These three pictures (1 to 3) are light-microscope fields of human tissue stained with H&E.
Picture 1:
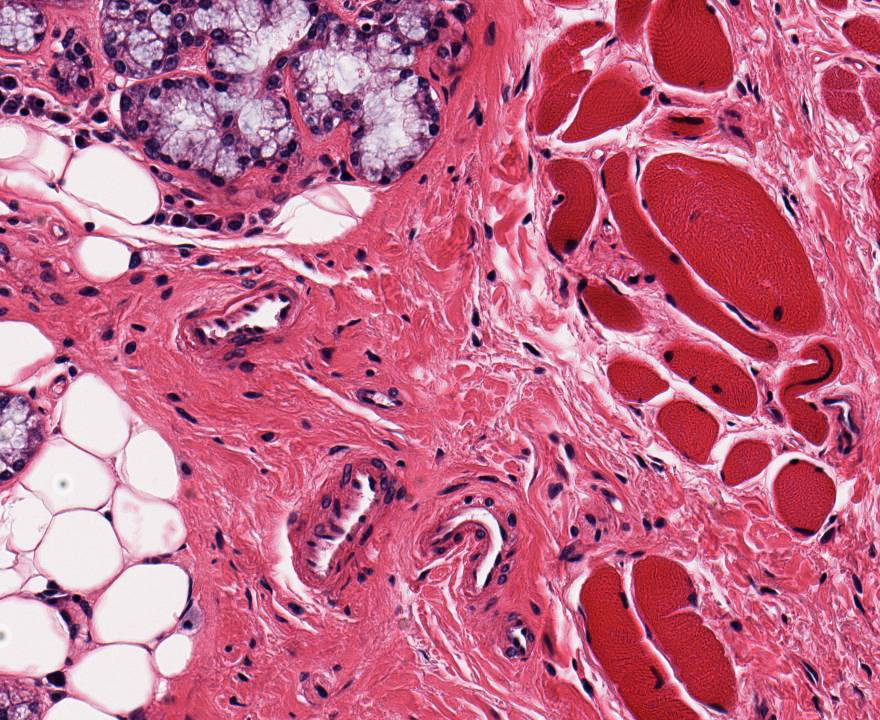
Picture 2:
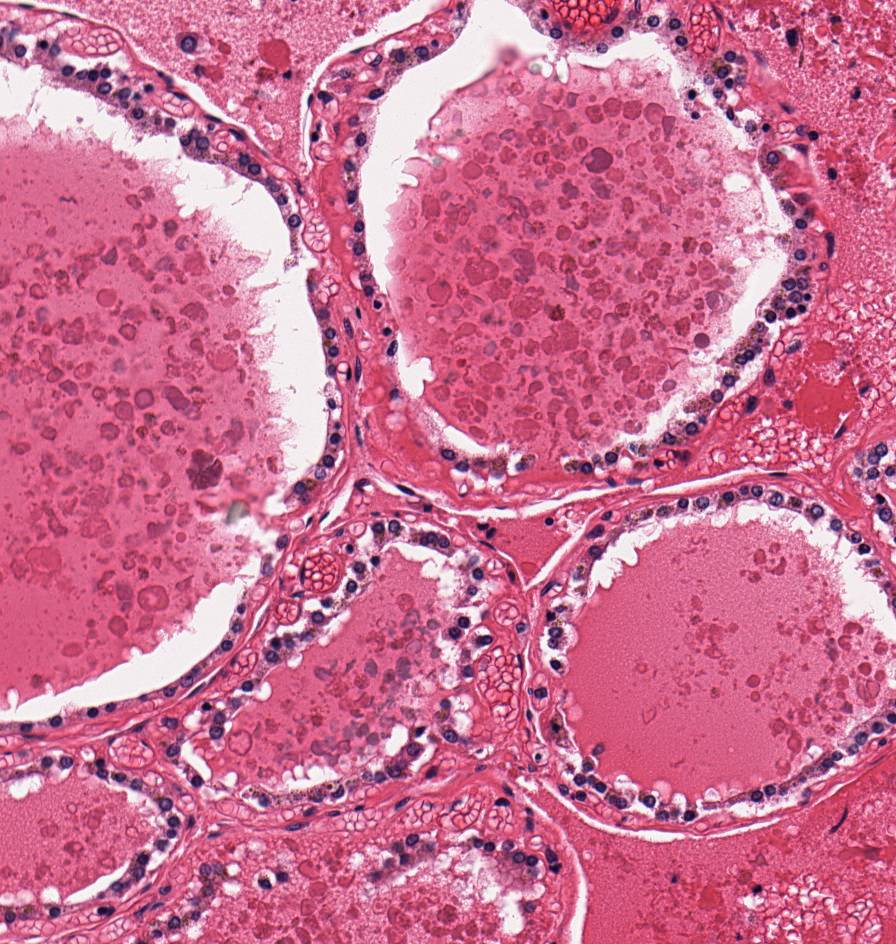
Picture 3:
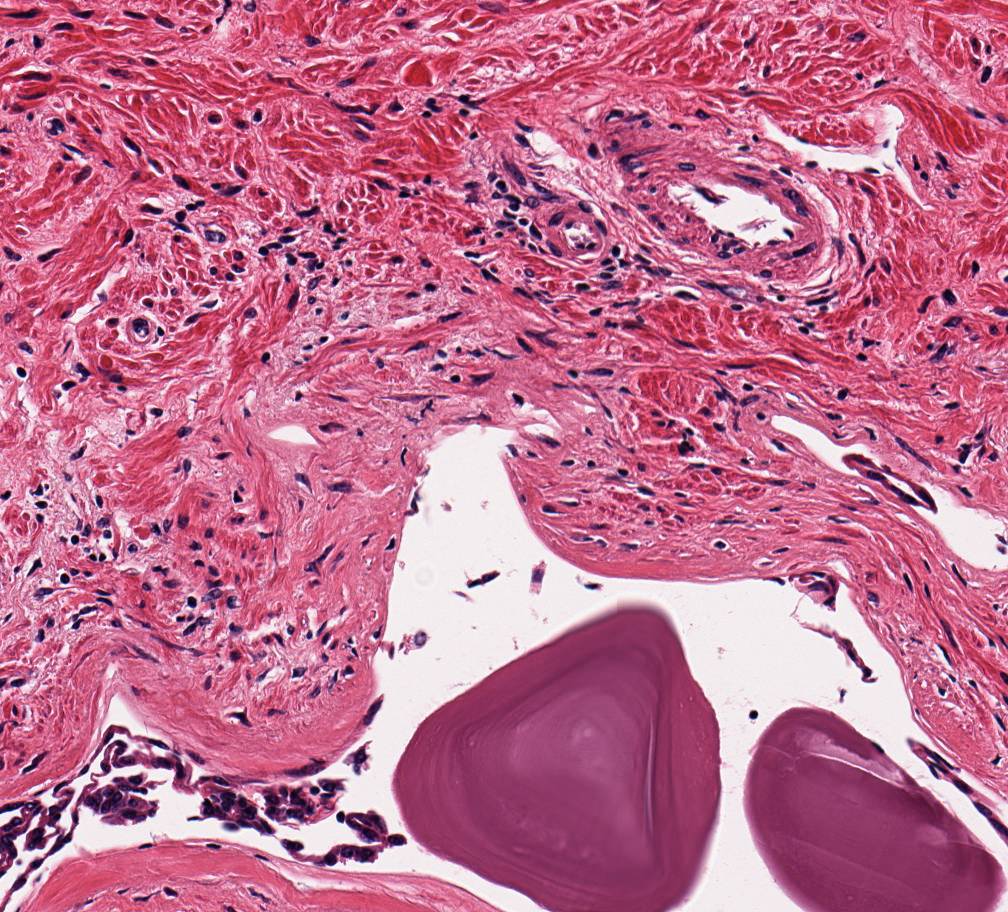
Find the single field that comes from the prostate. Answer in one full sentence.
Picture 3 comes from the prostate.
